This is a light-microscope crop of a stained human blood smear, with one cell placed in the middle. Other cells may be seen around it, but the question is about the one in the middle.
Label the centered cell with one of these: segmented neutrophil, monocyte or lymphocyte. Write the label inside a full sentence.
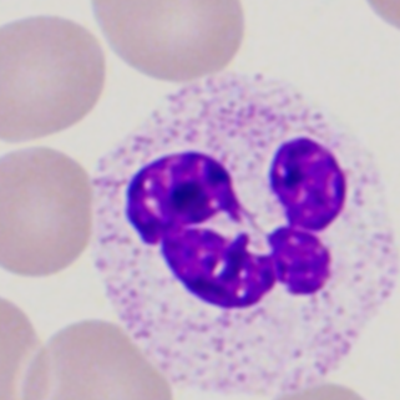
The cell under consideration, at the middle of the crop, is a segmented neutrophil.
